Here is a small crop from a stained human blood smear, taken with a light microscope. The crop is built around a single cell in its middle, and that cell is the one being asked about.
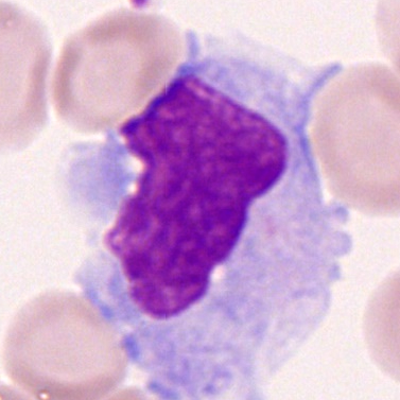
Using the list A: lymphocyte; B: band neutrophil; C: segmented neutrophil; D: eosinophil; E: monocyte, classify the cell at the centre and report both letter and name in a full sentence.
Option E is correct, naming the cell in the middle as a monocyte.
